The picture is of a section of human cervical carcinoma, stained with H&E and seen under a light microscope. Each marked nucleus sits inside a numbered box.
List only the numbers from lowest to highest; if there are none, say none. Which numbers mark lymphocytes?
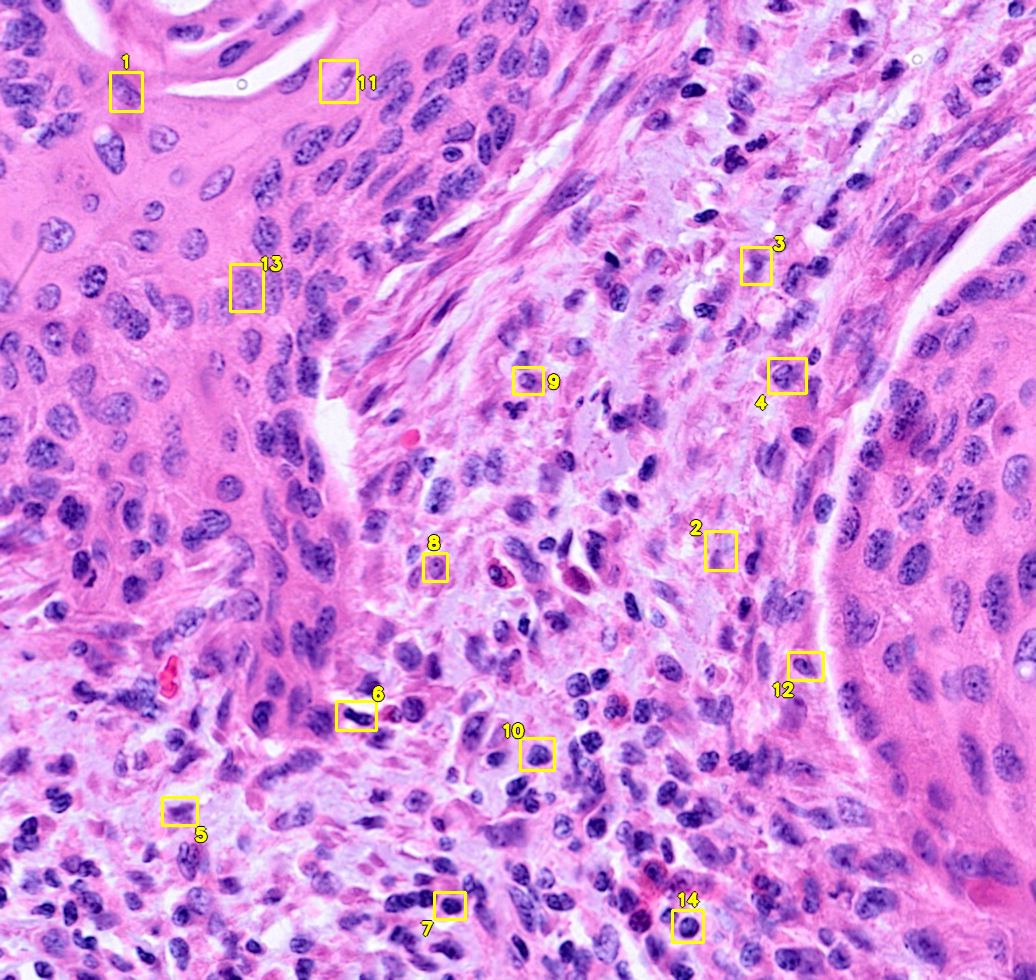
6, 7, 10, 14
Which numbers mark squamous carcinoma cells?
1, 11, 13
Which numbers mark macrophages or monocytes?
4, 8, 9, 12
